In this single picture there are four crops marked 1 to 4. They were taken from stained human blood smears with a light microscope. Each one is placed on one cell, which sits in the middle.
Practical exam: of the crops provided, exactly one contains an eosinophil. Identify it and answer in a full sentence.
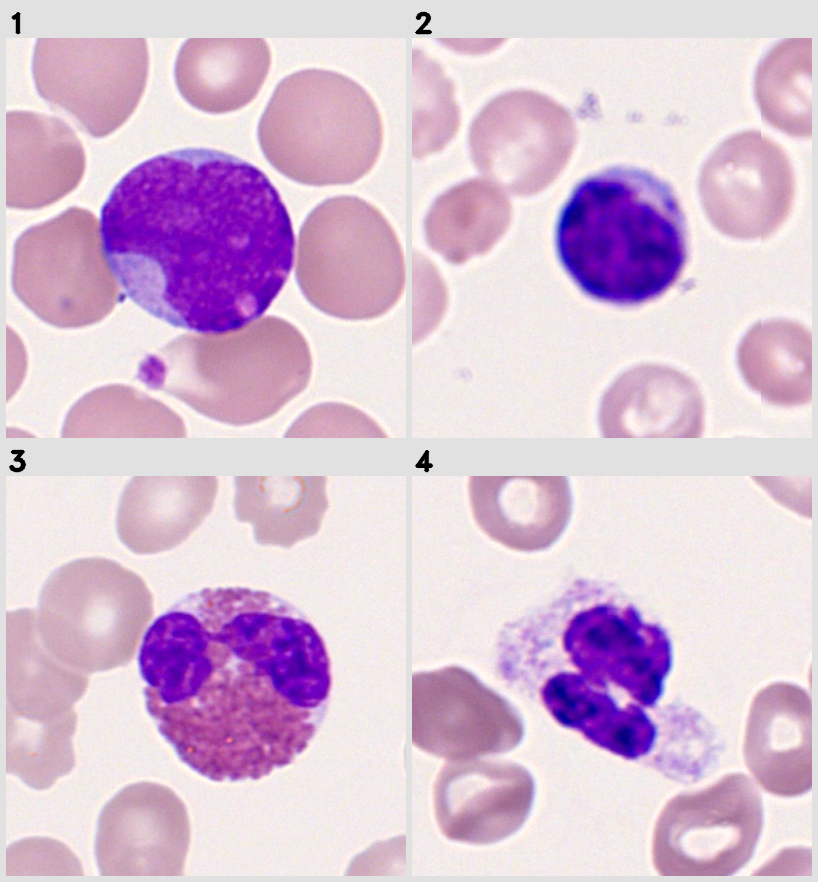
The one crop that shows an eosinophil is crop 3.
